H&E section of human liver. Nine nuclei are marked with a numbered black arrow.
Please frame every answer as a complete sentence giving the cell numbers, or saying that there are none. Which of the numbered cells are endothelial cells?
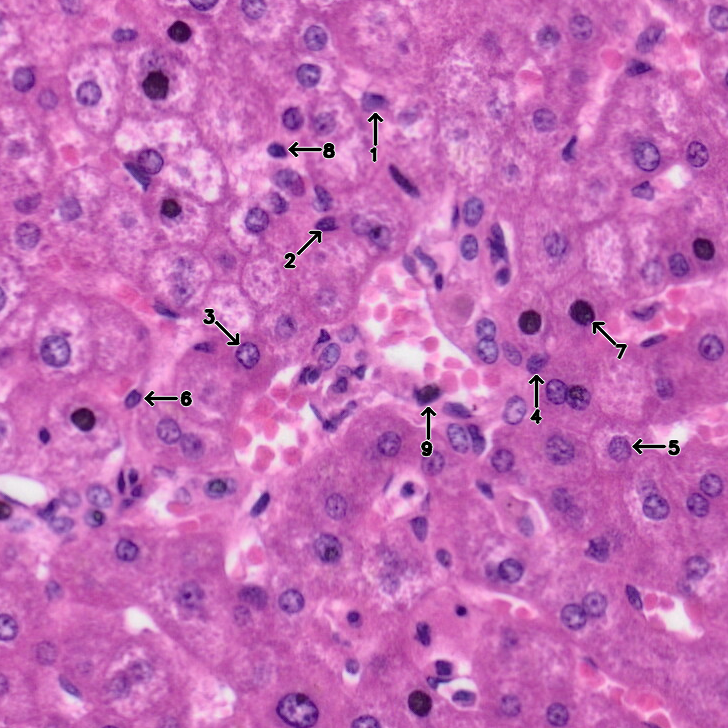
Of the cells bearing numbers, the only one that is an endothelial cell is cell 1.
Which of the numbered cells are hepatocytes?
The cells numbered 3, 5 and 7 are typed as hepatocytes.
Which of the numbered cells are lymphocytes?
The cells given the numbers 6 and 8 are lymphocytes.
